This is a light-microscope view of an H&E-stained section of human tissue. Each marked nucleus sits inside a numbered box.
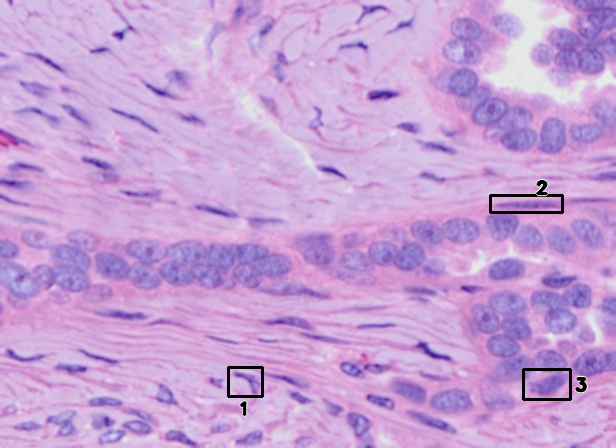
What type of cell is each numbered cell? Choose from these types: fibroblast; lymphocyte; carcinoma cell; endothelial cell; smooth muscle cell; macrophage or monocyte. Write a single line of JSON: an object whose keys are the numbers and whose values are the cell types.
{"1": "fibroblast", "2": "fibroblast", "3": "carcinoma cell"}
